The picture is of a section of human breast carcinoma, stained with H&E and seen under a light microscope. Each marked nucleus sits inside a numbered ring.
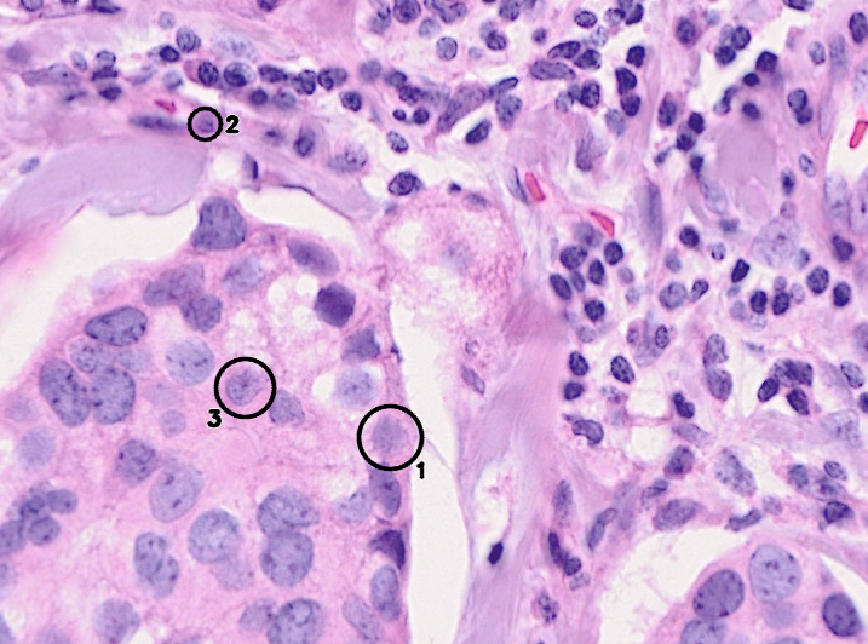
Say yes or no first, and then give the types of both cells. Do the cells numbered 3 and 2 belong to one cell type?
No, cell 3 is a carcinoma cell and cell 2 is an endothelial cell.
